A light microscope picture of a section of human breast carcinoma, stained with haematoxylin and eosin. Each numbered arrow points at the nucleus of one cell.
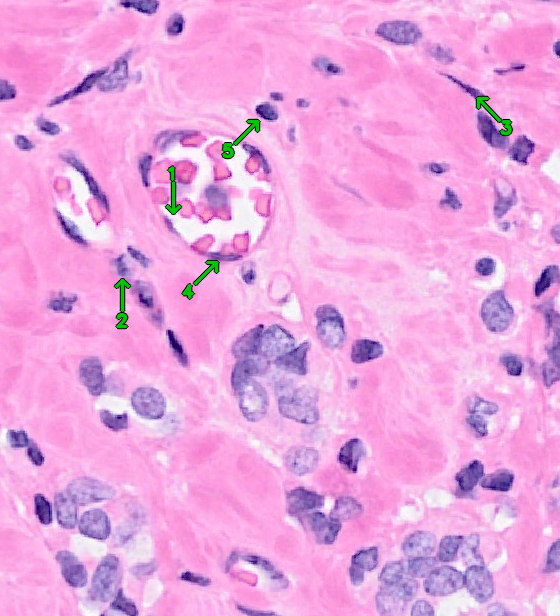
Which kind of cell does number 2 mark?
endothelial cell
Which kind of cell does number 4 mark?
endothelial cell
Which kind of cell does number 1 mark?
endothelial cell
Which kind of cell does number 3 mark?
fibroblast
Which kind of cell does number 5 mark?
lymphocyte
